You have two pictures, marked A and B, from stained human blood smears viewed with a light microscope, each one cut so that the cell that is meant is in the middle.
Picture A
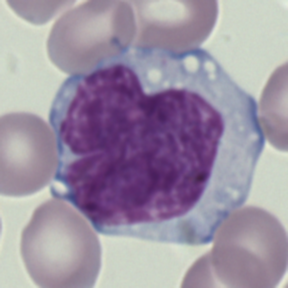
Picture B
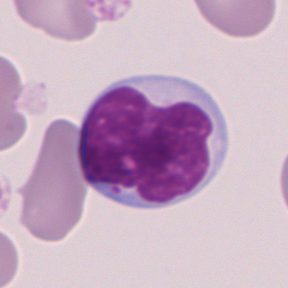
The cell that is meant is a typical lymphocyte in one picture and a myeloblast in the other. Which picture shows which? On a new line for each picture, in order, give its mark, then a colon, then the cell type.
A: myeloblast
B: typical lymphocyte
